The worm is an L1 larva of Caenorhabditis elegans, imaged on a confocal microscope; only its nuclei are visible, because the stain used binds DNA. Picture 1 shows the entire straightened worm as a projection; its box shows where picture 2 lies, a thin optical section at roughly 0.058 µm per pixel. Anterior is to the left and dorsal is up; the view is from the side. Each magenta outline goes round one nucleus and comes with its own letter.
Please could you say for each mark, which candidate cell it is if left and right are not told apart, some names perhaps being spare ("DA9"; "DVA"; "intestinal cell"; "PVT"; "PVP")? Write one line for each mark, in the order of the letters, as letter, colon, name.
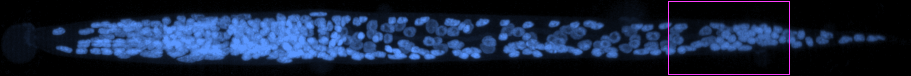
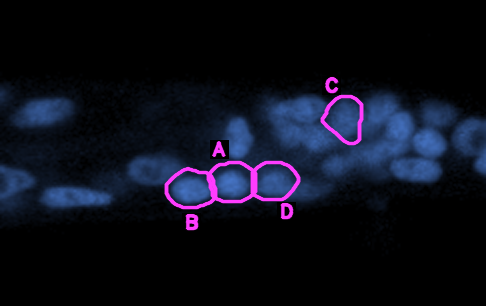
A: PVP
B: PVT
C: DVA
D: DA9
